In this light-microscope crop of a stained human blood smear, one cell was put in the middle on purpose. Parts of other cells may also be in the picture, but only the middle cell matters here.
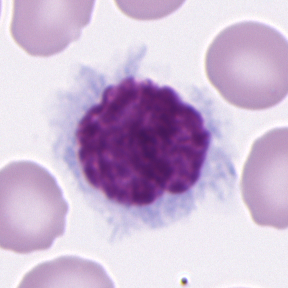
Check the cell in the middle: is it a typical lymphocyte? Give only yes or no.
no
